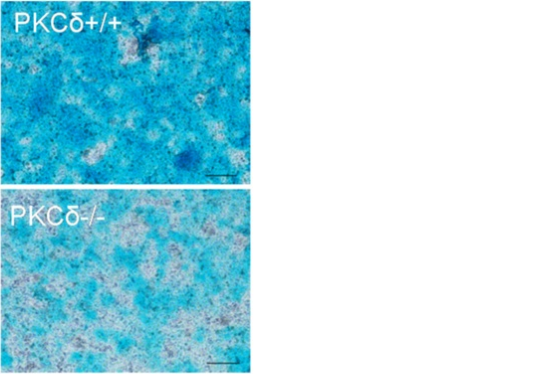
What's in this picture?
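Individual cells are not resolved; the culture appears as a continuous sheet of fine granular material. Turquoise-blue staining covers most of the upper field, with a few darker blue foci and scattered small unstained greyish patches. In the lower field the blue is patchier, interrupted by more numerous and larger unstained grey-purple areas, so less of the field is blue.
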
